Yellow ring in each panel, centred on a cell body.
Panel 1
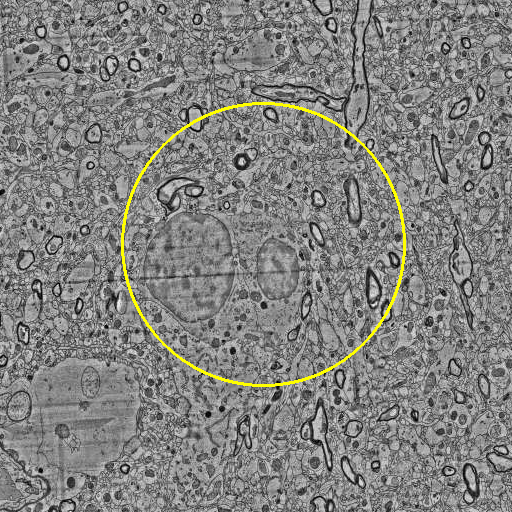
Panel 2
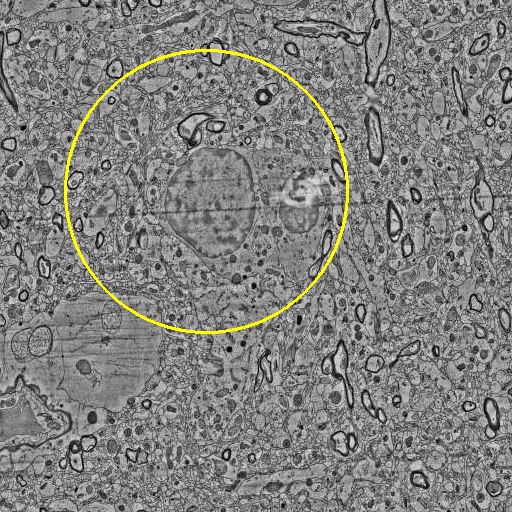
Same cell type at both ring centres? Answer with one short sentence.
Yes, both cells are of the same type.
